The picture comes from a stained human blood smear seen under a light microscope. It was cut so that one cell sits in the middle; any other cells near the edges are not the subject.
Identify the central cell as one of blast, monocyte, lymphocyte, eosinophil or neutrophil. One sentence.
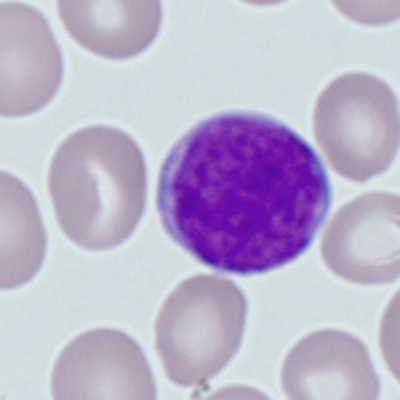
In short, the cell at the center is a blast.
